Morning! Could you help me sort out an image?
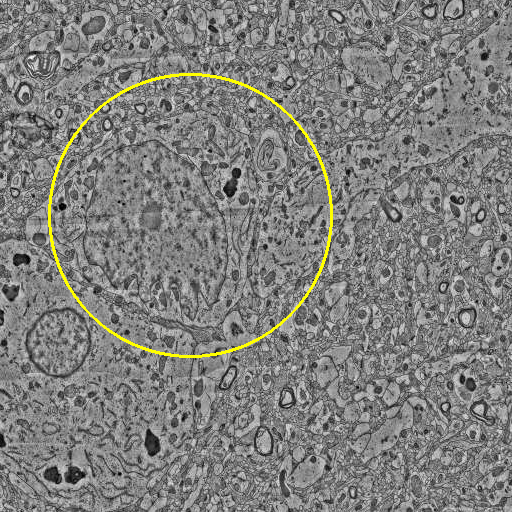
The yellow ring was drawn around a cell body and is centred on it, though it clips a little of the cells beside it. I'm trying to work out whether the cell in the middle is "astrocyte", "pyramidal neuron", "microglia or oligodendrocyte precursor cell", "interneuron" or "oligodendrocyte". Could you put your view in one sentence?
The ringed cell body is that of an interneuron.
